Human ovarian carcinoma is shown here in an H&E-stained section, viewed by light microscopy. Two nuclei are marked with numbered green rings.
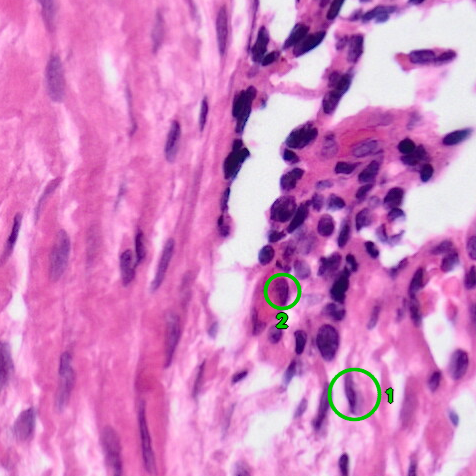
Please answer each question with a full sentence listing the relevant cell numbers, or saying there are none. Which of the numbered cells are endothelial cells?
None but cell 2 among the numbered cells is an endothelial cell.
